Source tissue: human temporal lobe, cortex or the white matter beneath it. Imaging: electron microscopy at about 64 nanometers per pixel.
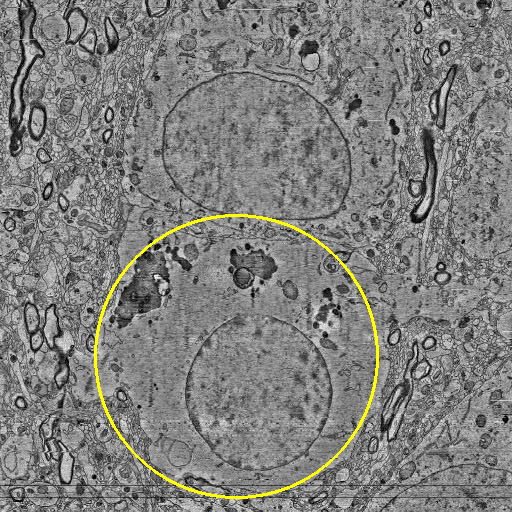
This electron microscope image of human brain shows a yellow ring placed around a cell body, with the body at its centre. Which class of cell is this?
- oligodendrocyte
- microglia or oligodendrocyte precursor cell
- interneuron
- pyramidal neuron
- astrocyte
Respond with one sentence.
The cell body at the ring's centre is an astrocyte.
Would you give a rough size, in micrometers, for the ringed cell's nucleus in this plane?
Approximately 10 micrometers across in this plane.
